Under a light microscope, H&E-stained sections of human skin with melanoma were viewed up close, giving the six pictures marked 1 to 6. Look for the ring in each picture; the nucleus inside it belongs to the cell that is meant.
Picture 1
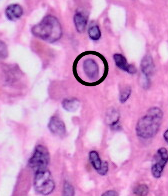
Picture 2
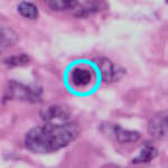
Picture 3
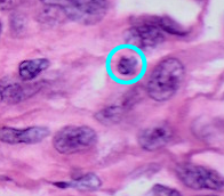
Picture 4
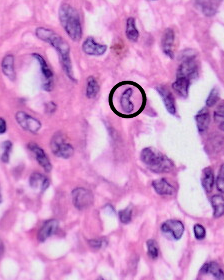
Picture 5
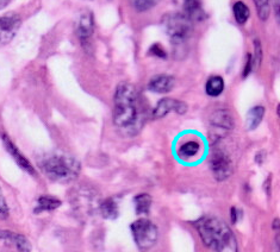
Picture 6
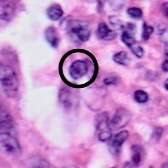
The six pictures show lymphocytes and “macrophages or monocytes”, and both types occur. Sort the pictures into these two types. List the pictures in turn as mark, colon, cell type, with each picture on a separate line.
1: macrophage or monocyte
2: lymphocyte
3: lymphocyte
4: macrophage or monocyte
5: lymphocyte
6: lymphocyte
